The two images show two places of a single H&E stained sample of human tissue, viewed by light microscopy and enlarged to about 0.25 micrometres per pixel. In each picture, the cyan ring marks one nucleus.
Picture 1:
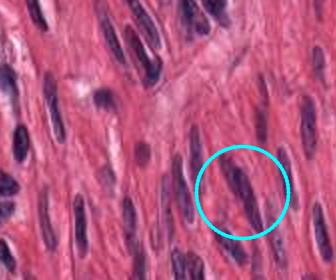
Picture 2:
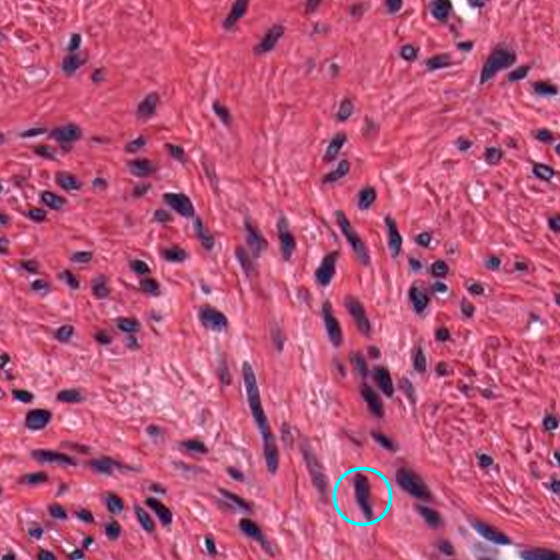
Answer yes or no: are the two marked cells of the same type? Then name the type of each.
Yes, both are smooth muscle cells.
